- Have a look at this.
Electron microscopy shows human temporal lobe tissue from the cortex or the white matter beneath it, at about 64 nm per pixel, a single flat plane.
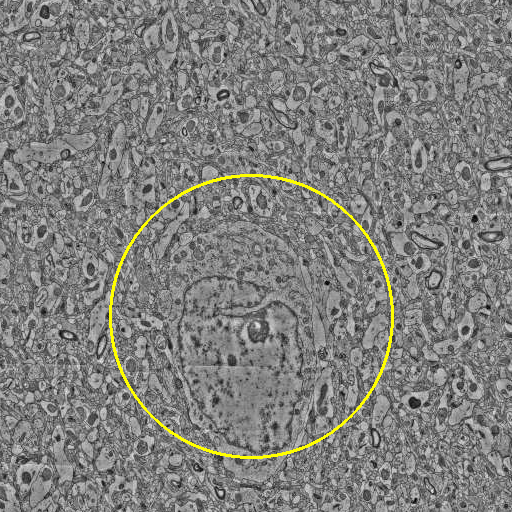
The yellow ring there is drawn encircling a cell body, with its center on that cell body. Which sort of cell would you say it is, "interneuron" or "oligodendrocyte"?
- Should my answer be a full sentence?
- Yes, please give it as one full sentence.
For this picture, an interneuron is the cell where the yellow ring has its center.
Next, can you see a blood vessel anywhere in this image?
No, the picture includes no blood vessel.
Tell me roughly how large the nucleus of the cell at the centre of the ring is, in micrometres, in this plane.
In this plane the nucleus measures roughly 12 by 8 micrometers.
